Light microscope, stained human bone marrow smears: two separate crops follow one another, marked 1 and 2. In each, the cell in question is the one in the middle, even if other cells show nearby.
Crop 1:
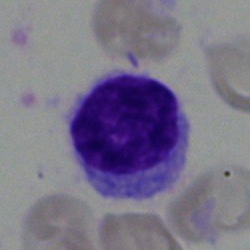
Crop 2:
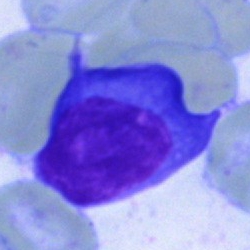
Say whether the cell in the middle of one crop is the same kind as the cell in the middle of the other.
no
